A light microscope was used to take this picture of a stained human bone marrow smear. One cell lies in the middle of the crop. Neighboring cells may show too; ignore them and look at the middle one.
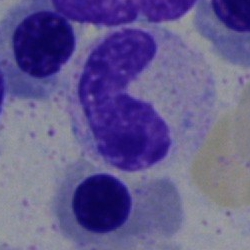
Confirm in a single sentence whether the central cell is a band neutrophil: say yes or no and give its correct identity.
Yes, the cell at the crop's center is a band neutrophil.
